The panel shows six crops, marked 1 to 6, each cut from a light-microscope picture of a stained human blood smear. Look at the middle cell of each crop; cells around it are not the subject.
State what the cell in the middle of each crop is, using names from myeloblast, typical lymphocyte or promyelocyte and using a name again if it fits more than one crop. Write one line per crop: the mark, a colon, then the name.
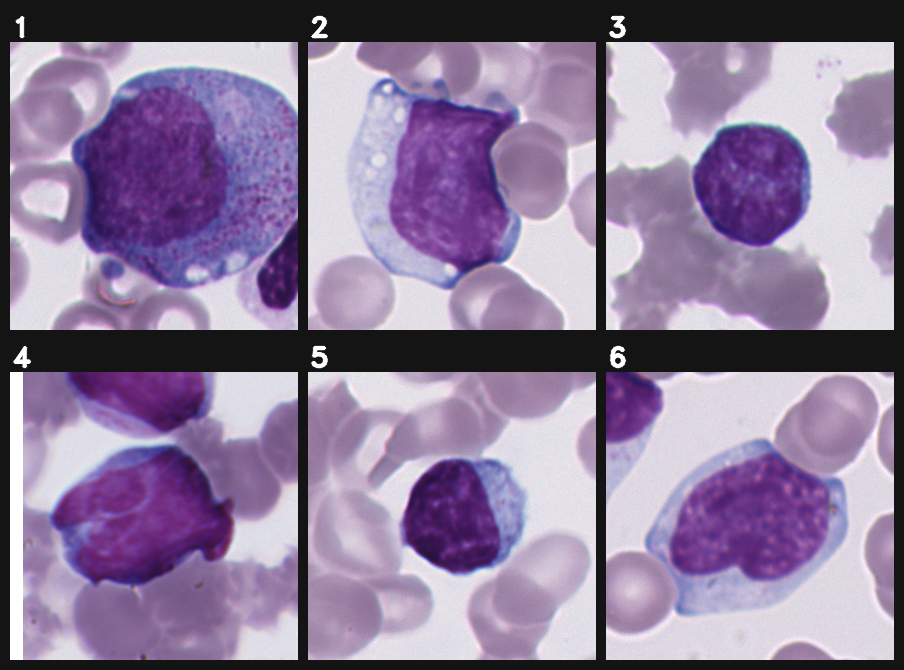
1: promyelocyte
2: myeloblast
3: typical lymphocyte
4: myeloblast
5: typical lymphocyte
6: myeloblast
